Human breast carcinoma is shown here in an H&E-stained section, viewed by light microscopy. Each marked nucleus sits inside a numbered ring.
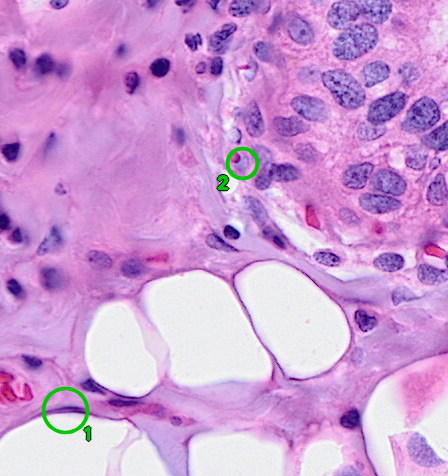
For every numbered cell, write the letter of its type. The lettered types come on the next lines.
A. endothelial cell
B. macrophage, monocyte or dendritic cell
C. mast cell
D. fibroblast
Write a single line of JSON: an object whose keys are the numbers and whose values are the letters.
{"1": "D", "2": "A"}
